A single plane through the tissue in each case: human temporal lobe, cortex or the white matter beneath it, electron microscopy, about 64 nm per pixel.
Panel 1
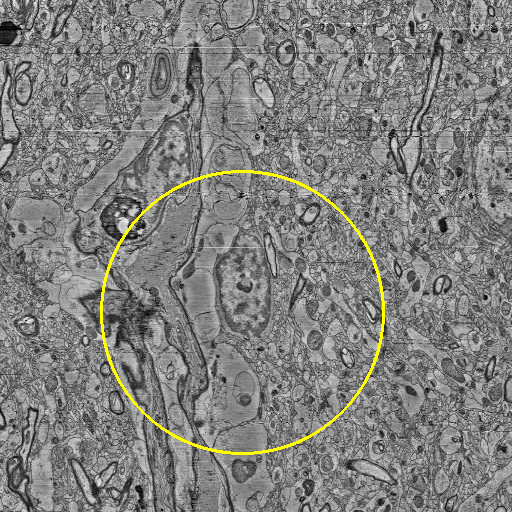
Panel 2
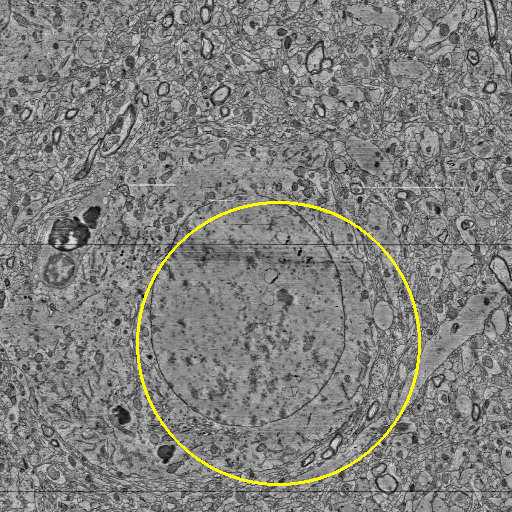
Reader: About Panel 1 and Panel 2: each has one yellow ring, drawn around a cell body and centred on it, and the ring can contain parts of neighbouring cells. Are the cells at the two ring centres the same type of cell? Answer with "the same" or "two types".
two types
